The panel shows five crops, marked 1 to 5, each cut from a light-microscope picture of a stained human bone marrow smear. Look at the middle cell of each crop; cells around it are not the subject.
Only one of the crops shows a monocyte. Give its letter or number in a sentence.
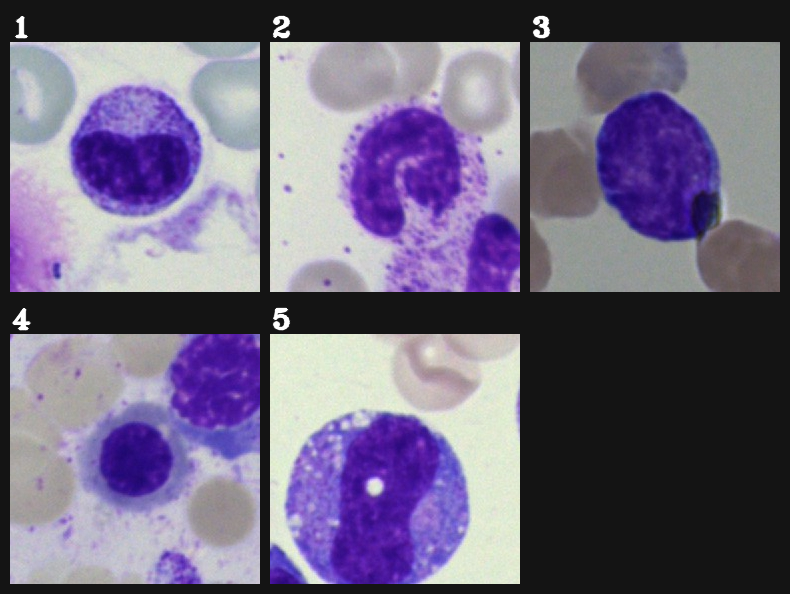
Identified crop: 5, the one that shows a monocyte.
